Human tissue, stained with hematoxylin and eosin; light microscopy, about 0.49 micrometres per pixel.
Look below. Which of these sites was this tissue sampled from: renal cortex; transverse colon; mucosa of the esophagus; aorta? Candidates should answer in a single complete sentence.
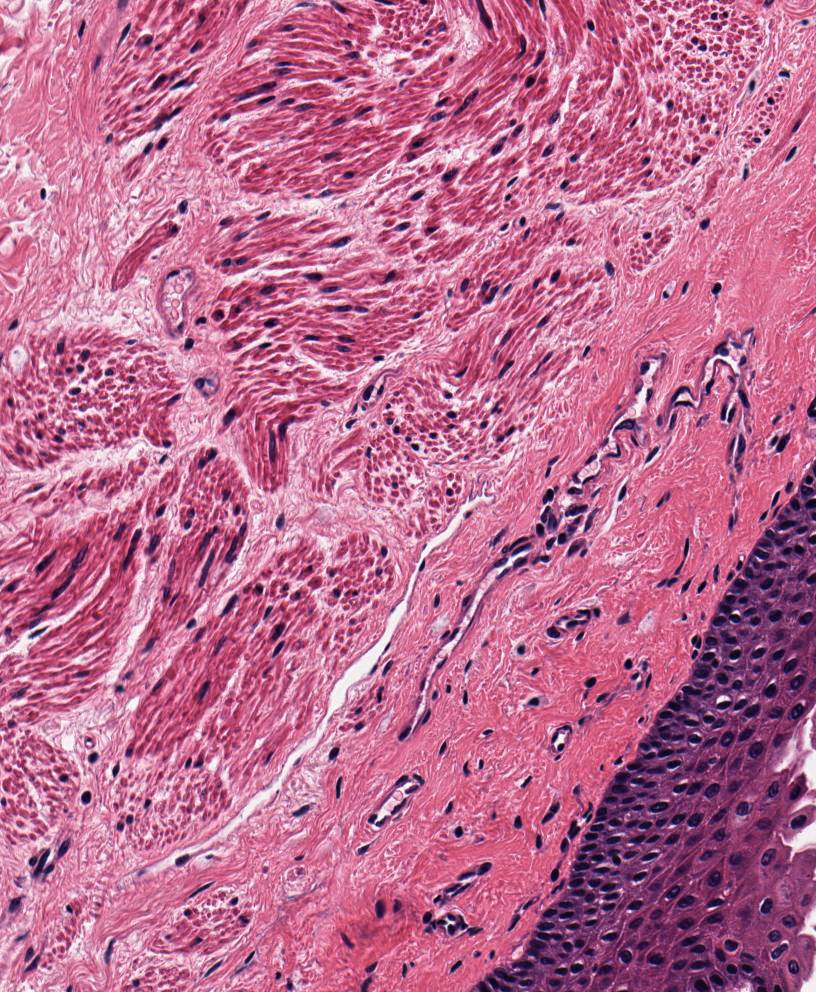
The tissue studied in this section came from the mucosa of the esophagus.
